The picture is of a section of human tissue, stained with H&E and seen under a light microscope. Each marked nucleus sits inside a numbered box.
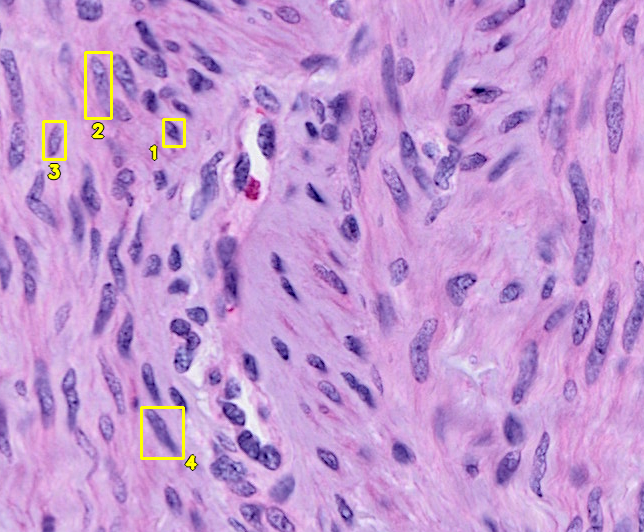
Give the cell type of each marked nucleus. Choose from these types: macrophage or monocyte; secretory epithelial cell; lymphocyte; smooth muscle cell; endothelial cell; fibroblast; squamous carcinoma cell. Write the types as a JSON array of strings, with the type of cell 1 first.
["smooth muscle cell", "smooth muscle cell", "smooth muscle cell", "fibroblast"]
